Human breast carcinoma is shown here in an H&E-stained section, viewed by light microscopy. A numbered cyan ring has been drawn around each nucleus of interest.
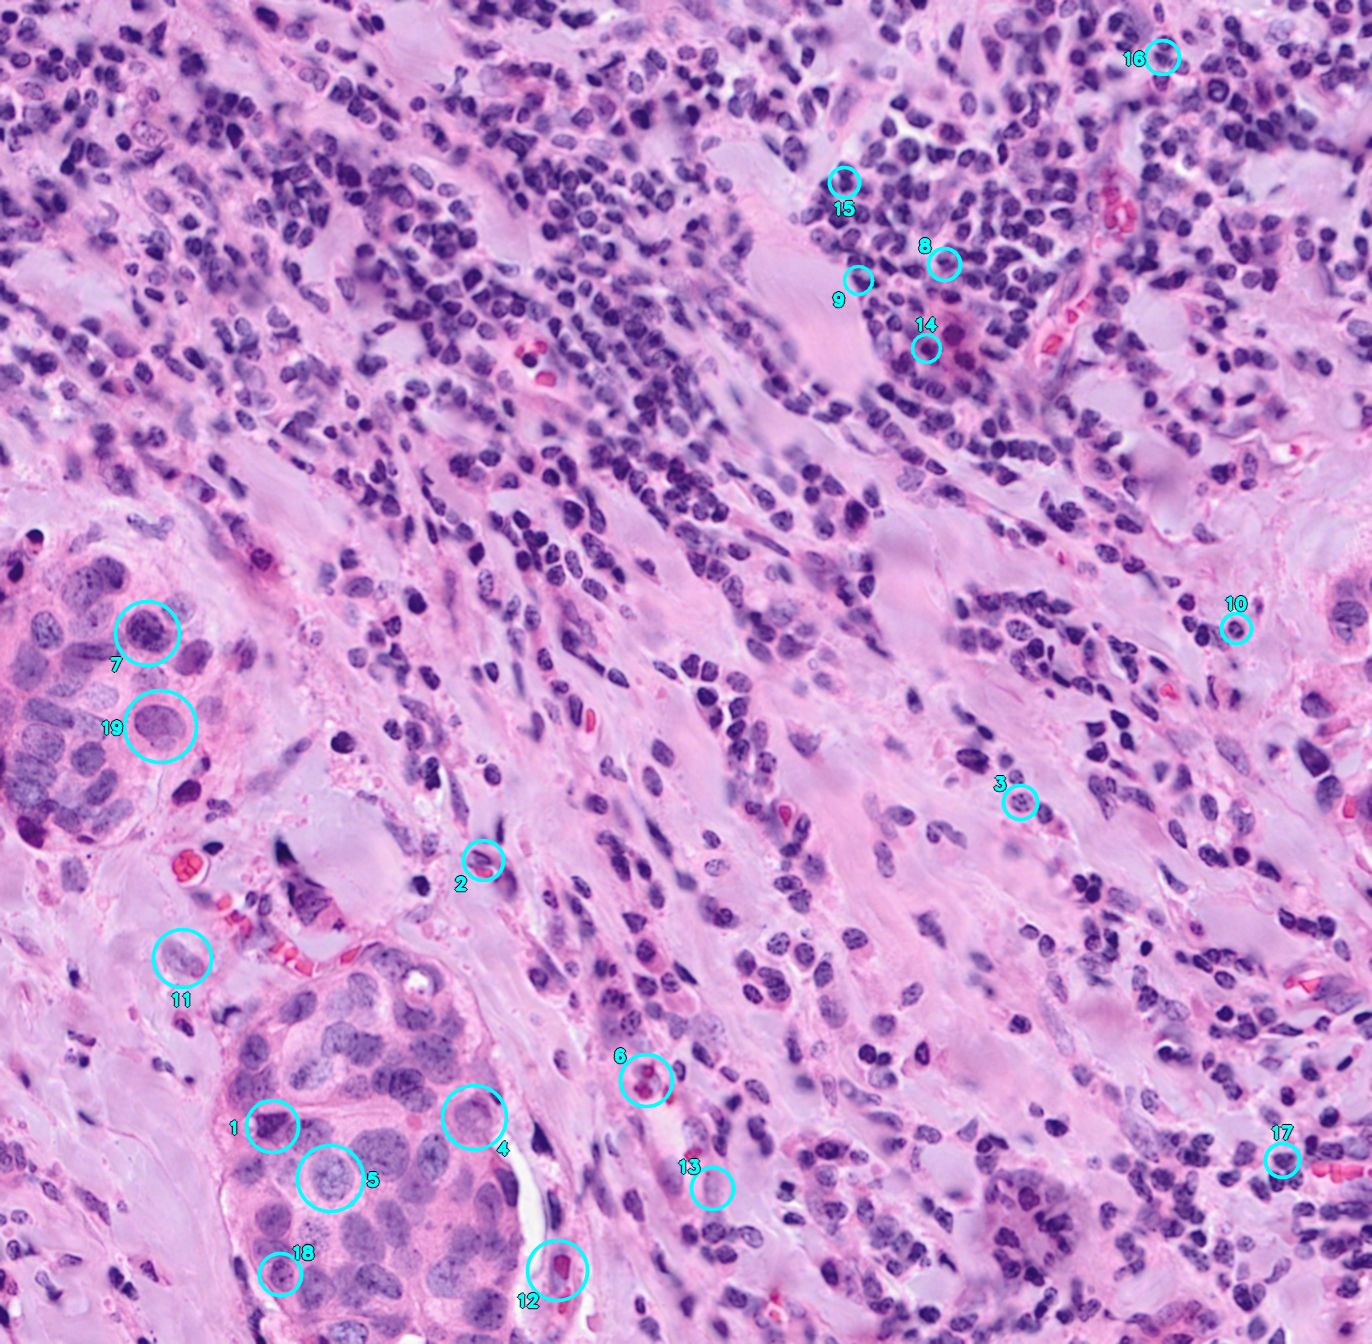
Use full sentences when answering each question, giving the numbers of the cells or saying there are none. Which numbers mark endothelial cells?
Here, the cells that carry numbers 2, 6, 12 and 13 are endothelial cells.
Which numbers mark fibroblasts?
Only the cell carrying number 11 is a fibroblast.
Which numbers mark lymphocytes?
The cells with numbers 8, 9, 14, 15, 16 and 17 are lymphocytes by type.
